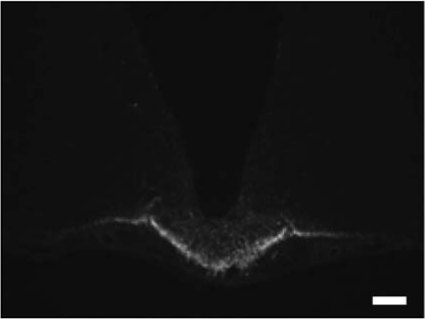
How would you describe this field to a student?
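Frontal section through the median eminence at the floor of the third ventricle, seen in dark-field fluorescence. The narrow dark ventricle descends from above and ends just above a ventral midline bulge of the brain floor. This bulge is filled with fine bright threads and dots, labelled fibres, which are densest along its outer, ventral border, forming a bright band. Thinner bright bands extend laterally along the brain's ventral surface on both sides. The surrounding neural tissue is almost dark, and no individual cell bodies stand out; the picture shows the layered architecture of the eminence rather than single cells.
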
